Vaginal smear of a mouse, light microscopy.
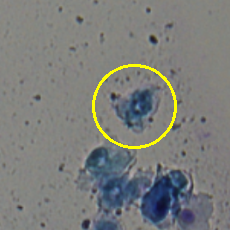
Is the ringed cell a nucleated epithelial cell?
Yes, it is a nucleated epithelial cell.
